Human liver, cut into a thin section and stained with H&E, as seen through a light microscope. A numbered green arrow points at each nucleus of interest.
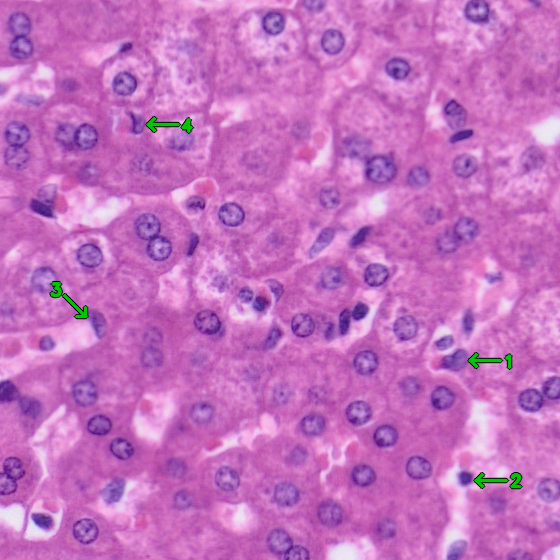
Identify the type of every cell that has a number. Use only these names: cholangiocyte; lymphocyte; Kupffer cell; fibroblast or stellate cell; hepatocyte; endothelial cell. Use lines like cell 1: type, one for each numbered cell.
cell 1: Kupffer cell
cell 2: lymphocyte
cell 3: endothelial cell
cell 4: endothelial cell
